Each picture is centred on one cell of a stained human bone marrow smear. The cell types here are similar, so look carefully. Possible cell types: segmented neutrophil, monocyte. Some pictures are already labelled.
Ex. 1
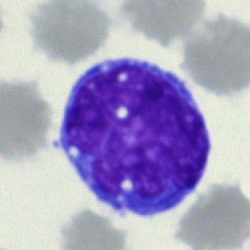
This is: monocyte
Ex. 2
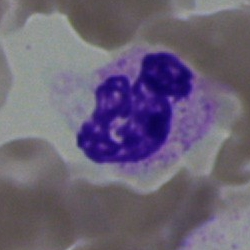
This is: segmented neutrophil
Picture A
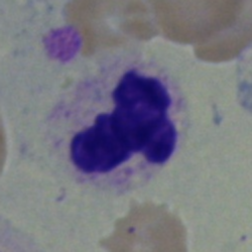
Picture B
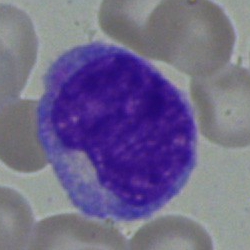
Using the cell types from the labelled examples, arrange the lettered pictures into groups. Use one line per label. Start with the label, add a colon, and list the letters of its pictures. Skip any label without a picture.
segmented neutrophil: A
monocyte: B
